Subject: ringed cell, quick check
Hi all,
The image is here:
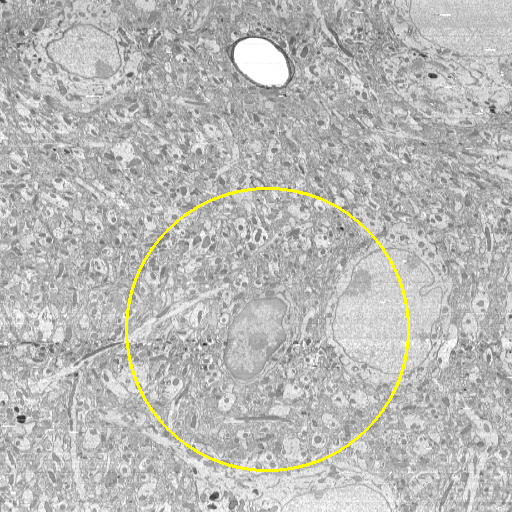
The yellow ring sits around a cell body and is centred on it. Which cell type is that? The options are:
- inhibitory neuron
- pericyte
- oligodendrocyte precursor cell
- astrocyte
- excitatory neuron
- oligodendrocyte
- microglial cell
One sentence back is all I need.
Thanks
That ringed cell is a microglial cell.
